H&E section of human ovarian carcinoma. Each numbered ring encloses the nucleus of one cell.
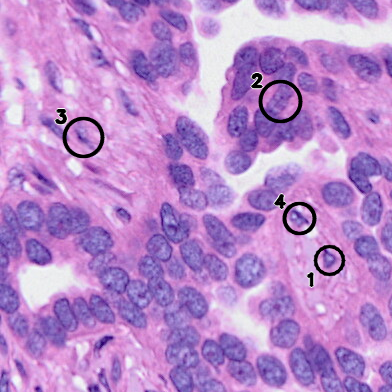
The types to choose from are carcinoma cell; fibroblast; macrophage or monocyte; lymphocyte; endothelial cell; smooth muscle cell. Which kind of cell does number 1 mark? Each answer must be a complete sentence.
Heads up, the cell numbered 1 is a fibroblast.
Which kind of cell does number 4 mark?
The marked nucleus 4 is that of a fibroblast.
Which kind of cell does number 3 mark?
Classified as a fibroblast is the cell with the number 3.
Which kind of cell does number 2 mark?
The cell marked with number 2 is a carcinoma cell.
